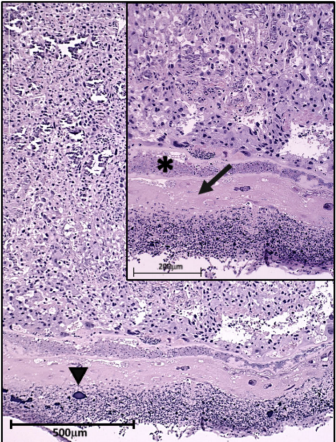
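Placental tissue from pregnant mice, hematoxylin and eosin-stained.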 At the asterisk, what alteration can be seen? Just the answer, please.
Nuclear debris infiltration.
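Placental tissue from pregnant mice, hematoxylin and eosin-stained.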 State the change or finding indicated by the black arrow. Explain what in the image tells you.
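The arrow points into a pale pink band that holds few intact nuclei. The band lies between more cellular layers with many purple nuclei. That points to this answer: necrotic areas.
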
